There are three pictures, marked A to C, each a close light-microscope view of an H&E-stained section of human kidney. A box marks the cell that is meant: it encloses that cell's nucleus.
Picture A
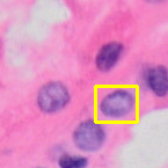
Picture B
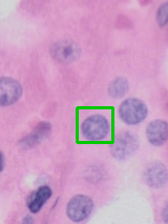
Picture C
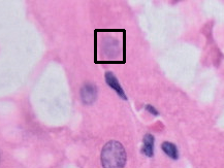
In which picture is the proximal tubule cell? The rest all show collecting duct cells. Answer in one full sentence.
The proximal tubule cell is the one in picture C.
